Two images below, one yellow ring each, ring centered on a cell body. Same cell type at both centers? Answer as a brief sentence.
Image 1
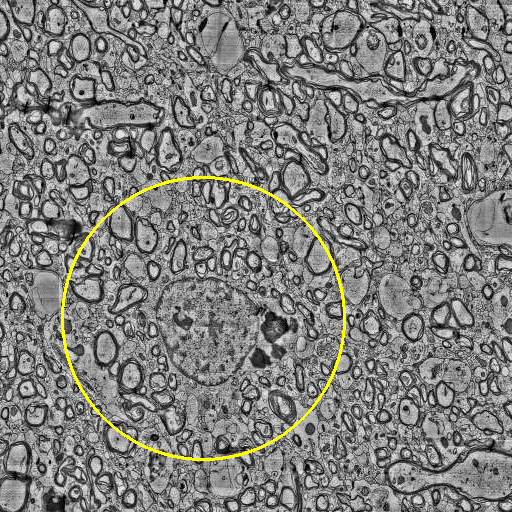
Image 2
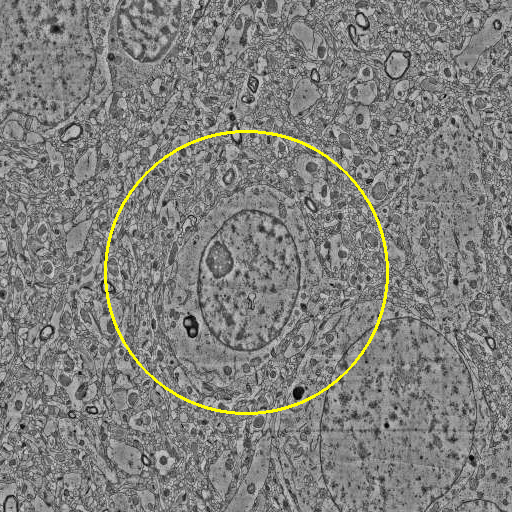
No, the cells are of two separate types.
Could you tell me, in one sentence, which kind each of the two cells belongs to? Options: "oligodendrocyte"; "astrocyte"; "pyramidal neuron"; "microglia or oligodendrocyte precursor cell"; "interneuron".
At the centre of the first ring sits an oligodendrocyte, and at the centre of the second sits a pyramidal neuron.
